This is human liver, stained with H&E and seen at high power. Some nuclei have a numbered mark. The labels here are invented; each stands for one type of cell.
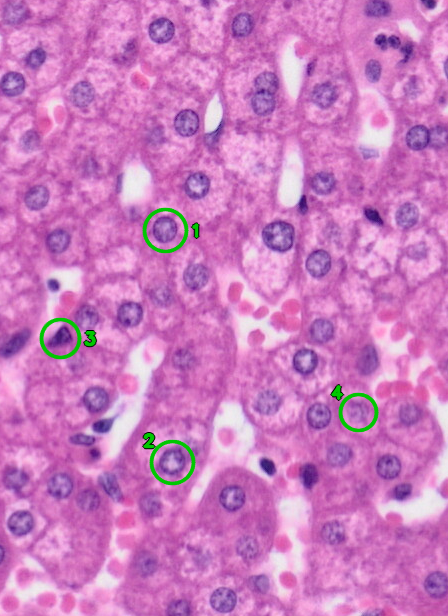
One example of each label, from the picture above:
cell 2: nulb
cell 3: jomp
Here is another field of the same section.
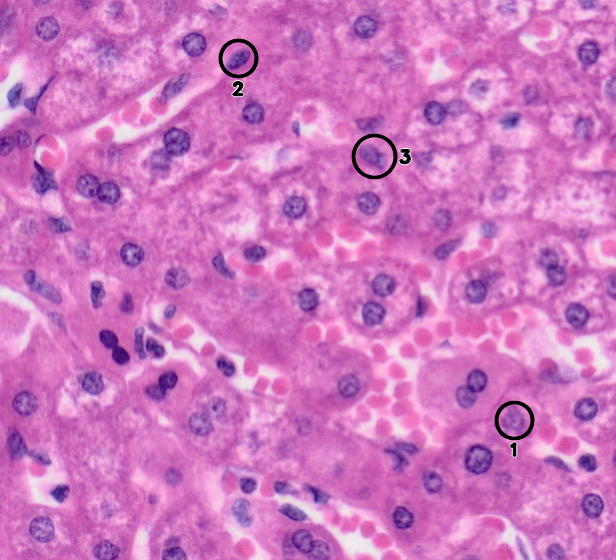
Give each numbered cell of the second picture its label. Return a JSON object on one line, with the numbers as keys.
{"1": "nulb", "2": "jomp", "3": "jomp"}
